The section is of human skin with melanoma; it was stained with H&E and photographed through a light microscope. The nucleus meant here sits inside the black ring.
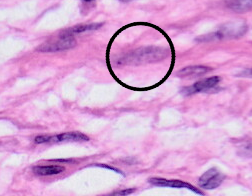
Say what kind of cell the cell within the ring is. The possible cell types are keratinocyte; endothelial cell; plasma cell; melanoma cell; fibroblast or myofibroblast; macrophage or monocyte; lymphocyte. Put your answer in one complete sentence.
In cellular terms, the cell within the ring is a fibroblast or myofibroblast.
